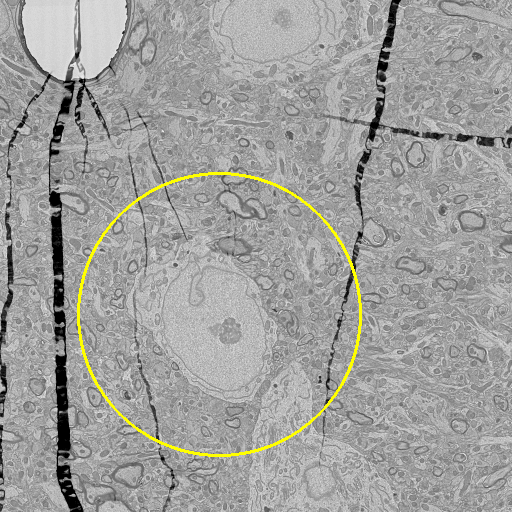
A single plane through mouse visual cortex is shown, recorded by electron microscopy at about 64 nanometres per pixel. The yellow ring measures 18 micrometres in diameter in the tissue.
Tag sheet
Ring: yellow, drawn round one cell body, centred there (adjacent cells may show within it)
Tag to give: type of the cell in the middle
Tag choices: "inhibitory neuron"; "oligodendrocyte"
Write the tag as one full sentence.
I tag the cell centred in the yellow ring as an inhibitory neuron in this picture.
